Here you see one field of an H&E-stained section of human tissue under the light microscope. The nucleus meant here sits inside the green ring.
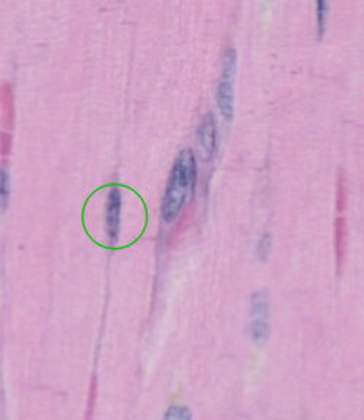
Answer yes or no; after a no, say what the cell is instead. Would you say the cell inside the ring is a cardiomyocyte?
No, it is an endothelial cell.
